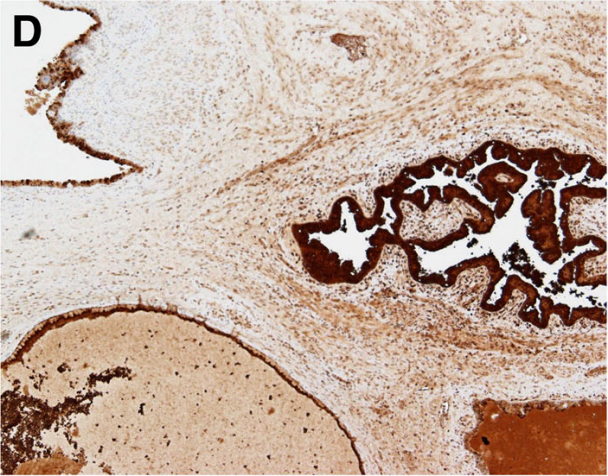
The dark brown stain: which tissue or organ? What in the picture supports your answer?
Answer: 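An intense dark brown band lines the folded gland space on the right. Thin brown lining borders the large cystic spaces. The surrounding stroma stains only faintly. That points to this answer: The epithelium of the cysts.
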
